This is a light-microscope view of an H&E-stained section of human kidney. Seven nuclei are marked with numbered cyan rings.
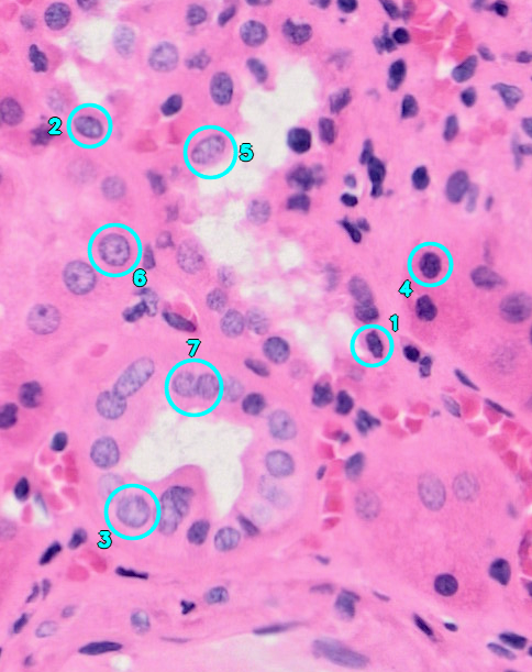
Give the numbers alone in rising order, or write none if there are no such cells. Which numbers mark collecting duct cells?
3, 7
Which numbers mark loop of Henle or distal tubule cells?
1, 2, 5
